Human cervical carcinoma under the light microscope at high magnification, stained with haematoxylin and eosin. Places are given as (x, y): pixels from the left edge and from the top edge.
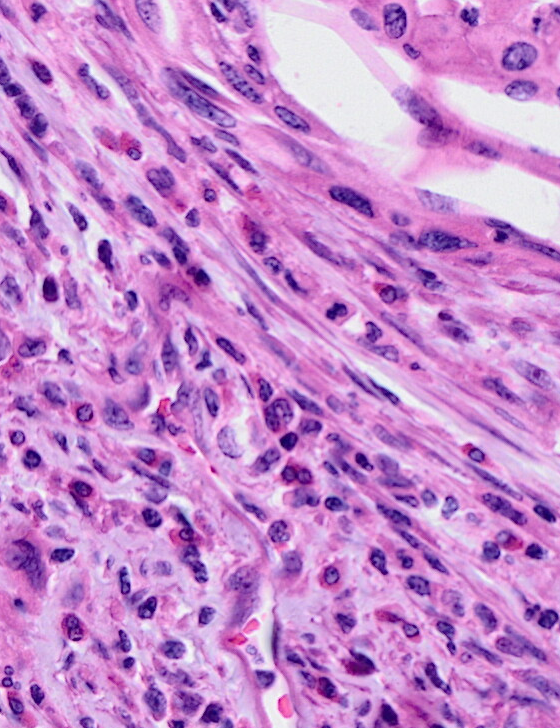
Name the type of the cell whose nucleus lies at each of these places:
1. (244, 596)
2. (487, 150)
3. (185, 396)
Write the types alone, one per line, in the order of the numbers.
endothelial cell
squamous carcinoma cell
endothelial cell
